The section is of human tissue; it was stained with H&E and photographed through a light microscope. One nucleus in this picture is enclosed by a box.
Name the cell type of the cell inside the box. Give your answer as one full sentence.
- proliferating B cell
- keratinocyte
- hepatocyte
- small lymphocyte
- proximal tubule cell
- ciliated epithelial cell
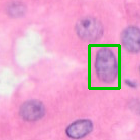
Students should answer that the cell inside the box is a proximal tubule cell.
